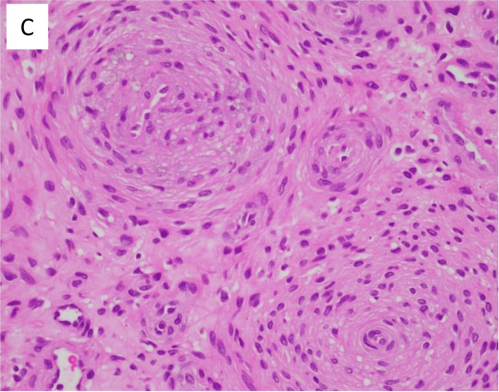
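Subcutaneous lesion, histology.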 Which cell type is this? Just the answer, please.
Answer: Smooth muscle-like plump spindle cells.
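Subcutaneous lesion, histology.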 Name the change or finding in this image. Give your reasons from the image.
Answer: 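Multilayered, concentric perivascular proliferation. Spindle cells arranged in concentric whorls. Whorls centred on small vessel lumens. Several layers of cells around each vessel.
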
